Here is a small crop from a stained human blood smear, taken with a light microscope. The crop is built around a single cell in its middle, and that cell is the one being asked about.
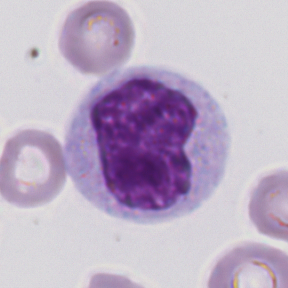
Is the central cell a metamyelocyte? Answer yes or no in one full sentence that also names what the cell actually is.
Yes, it is a metamyelocyte that occupies the centre of the crop.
